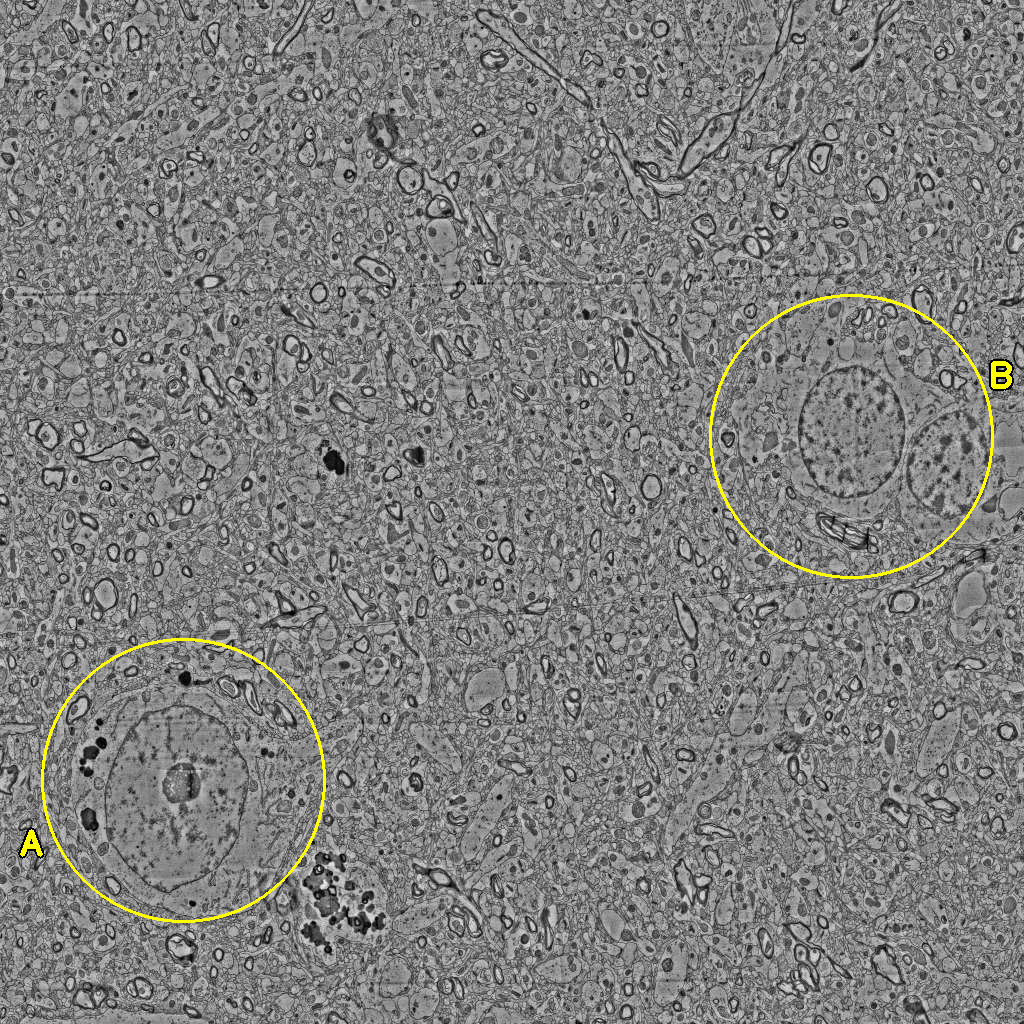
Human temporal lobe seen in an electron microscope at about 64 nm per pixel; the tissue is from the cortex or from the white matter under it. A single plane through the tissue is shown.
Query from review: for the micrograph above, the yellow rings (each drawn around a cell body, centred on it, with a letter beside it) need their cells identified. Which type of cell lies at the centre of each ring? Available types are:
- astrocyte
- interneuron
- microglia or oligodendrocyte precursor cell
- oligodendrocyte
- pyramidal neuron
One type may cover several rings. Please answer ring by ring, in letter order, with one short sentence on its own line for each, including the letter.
Ring A is drawn around a pyramidal neuron.
Ring B is drawn around an astrocyte.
